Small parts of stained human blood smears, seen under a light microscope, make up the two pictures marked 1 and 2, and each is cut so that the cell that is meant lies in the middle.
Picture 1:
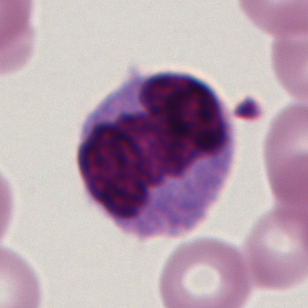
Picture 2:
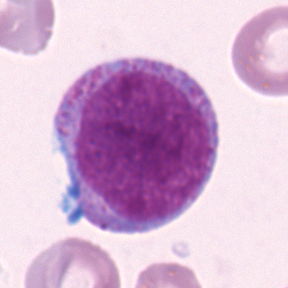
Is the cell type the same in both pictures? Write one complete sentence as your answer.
No. Picture 1 shows a monocyte, but picture 2 shows a promyelocyte.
